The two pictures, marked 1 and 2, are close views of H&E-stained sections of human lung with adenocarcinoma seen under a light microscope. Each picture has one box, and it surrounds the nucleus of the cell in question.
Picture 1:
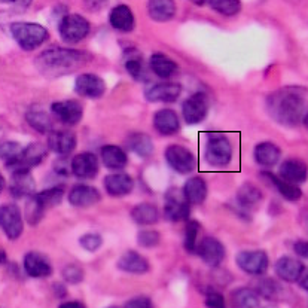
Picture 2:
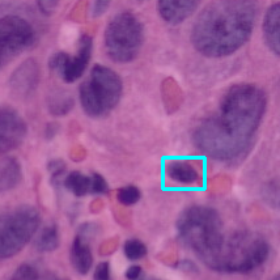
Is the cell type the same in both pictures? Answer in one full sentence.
Yes; the cells in both pictures are lymphocytes.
